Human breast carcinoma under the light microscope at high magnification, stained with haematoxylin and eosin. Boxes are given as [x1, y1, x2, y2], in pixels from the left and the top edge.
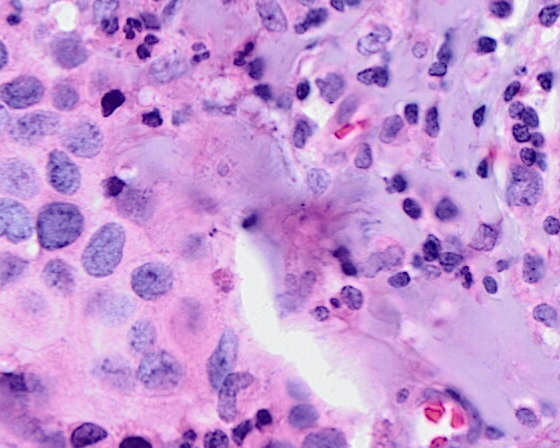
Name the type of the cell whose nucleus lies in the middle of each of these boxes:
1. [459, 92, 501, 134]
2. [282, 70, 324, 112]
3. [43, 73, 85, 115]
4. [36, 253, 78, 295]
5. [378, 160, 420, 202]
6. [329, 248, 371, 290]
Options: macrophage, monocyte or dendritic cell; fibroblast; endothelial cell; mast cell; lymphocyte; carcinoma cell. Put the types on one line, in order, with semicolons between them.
lymphocyte; lymphocyte; carcinoma cell; carcinoma cell; lymphocyte; lymphocyte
